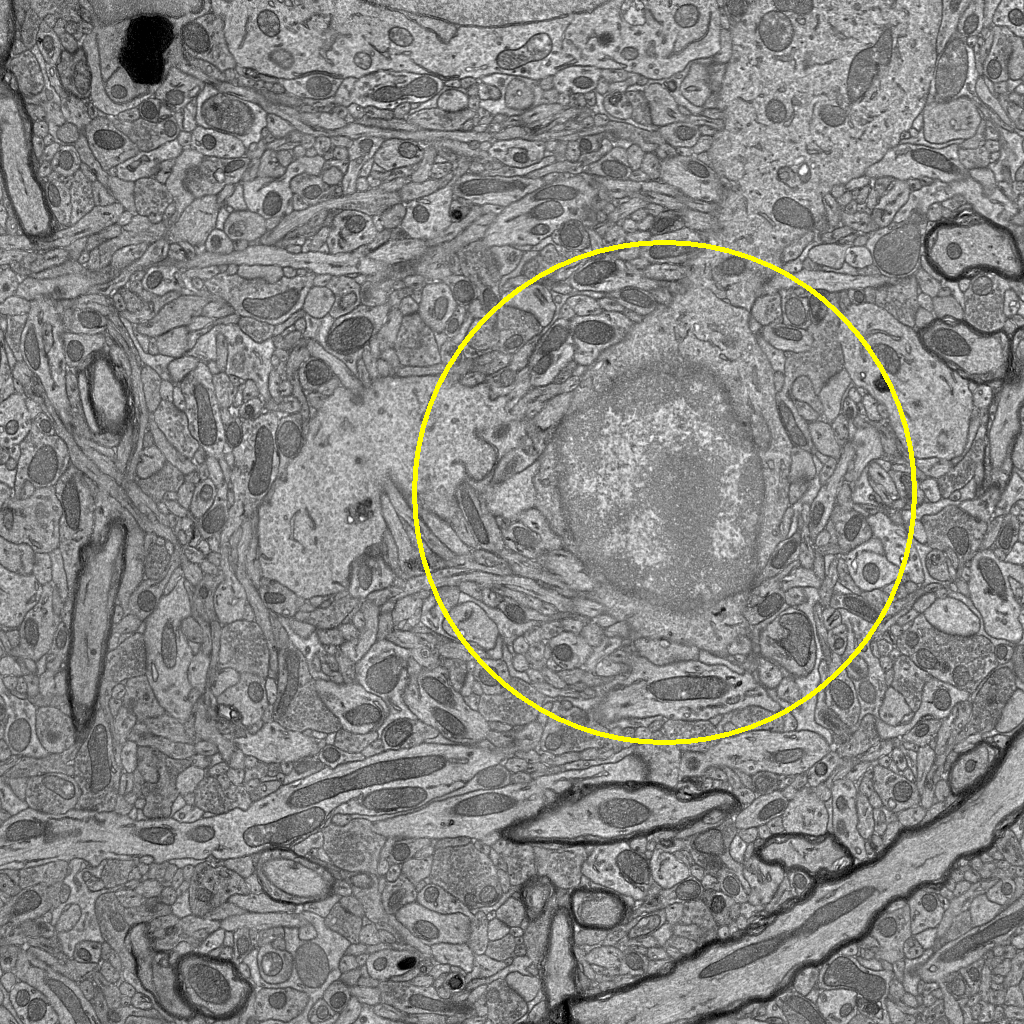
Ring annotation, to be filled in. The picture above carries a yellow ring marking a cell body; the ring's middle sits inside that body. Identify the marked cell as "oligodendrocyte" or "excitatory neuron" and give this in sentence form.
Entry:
The cell at the middle of the ring is an oligodendrocyte.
